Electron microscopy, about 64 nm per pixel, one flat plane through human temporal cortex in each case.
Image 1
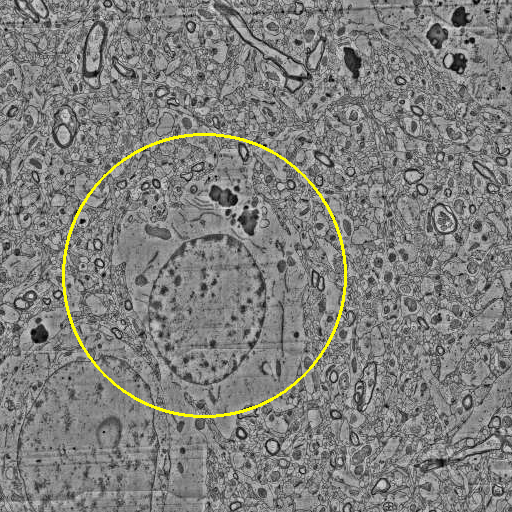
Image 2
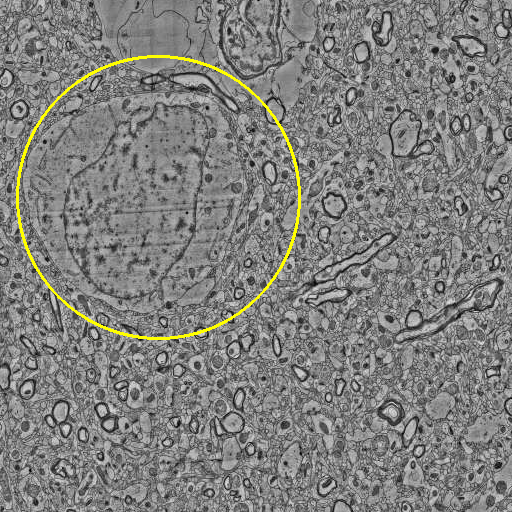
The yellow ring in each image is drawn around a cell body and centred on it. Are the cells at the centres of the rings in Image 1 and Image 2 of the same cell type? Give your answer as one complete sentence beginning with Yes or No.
No, the two cells are of two separate types.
